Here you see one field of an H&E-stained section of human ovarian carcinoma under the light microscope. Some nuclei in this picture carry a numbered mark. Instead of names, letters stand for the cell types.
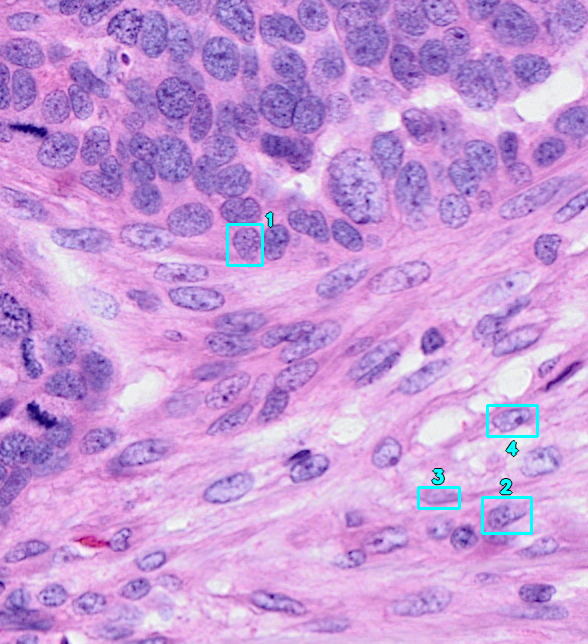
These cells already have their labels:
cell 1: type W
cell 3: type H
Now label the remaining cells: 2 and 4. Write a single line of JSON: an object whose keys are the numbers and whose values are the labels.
{"2": "type H", "4": "type H"}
